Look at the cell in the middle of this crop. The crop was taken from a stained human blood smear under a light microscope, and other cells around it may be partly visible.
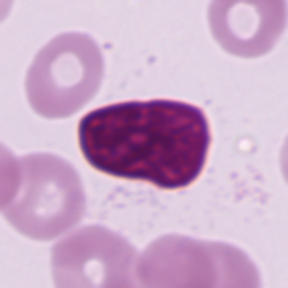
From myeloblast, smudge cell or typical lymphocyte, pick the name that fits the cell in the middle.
smudge cell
